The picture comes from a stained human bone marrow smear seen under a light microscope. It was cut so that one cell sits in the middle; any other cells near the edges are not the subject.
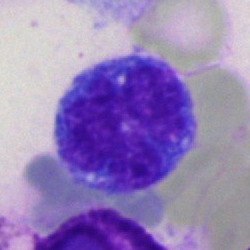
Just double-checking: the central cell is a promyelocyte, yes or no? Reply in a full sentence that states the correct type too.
No, the cell at the centre is identified as a monocyte, not as a promyelocyte.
